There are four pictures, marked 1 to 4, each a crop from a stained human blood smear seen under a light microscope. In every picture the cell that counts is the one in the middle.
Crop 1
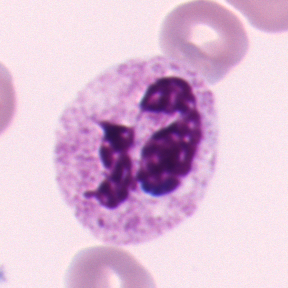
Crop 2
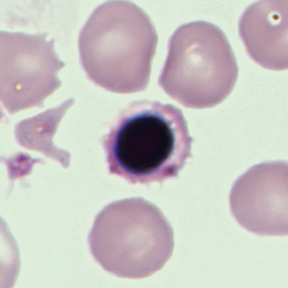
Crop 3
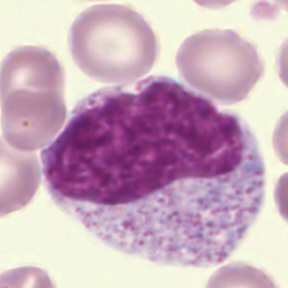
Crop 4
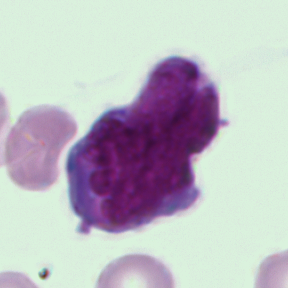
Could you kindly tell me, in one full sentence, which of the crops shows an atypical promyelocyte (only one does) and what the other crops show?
Crop 4 represents an atypical promyelocyte, while crop 1 is a segmented neutrophil, crop 2 is a normoblast and crop 3 is a myelocyte.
